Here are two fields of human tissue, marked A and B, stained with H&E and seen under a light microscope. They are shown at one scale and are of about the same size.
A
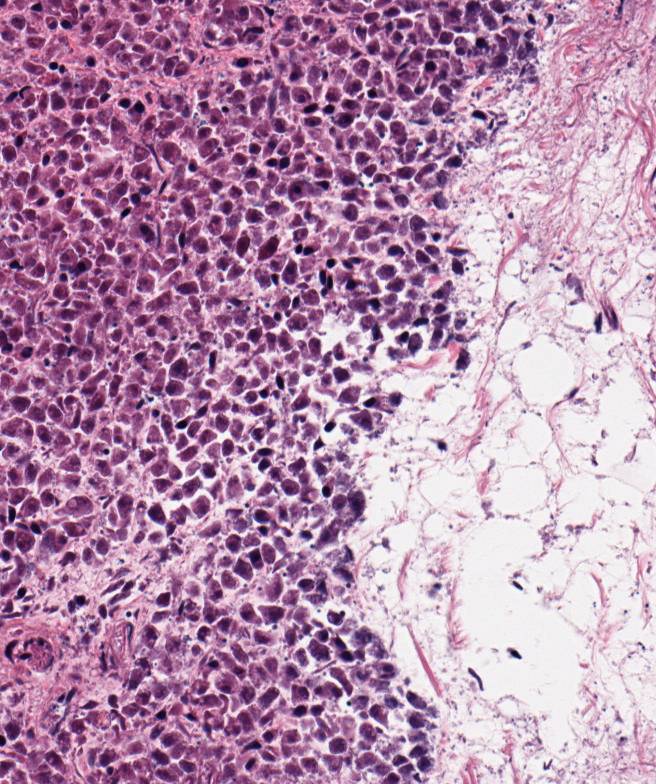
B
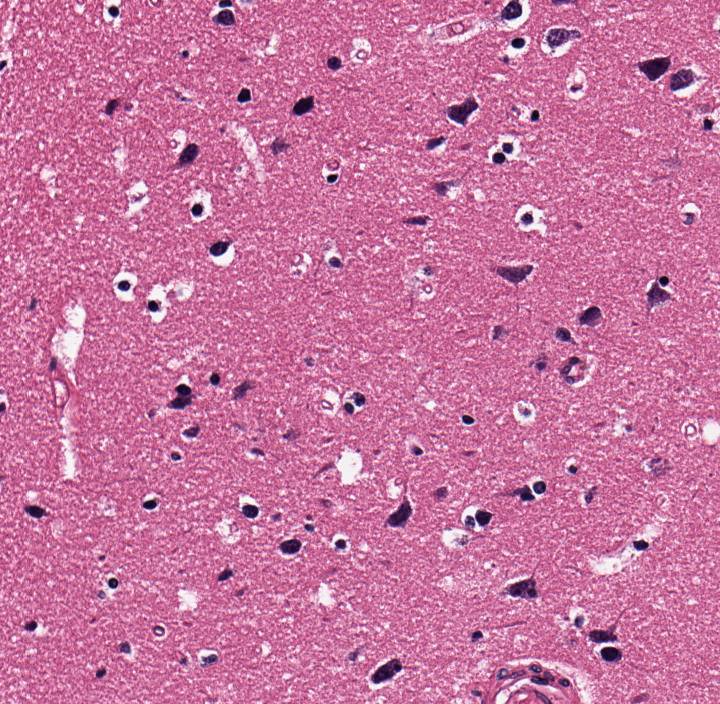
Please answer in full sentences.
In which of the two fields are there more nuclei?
More nuclei lie in field A than in field B.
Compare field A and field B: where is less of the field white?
Field B has less white space.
